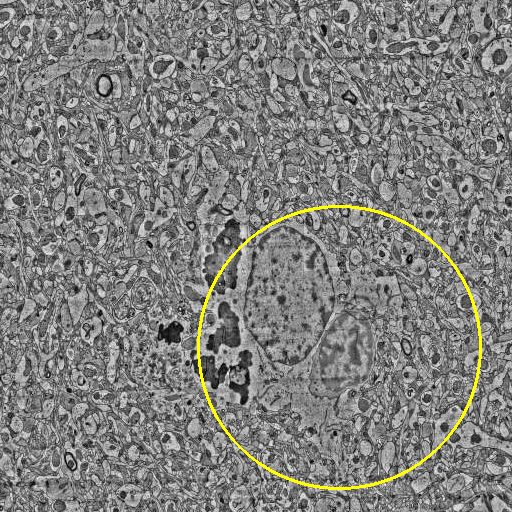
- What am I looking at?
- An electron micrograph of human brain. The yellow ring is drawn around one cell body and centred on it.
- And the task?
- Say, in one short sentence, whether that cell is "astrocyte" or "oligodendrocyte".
The cell in the middle of the ring is an oligodendrocyte.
